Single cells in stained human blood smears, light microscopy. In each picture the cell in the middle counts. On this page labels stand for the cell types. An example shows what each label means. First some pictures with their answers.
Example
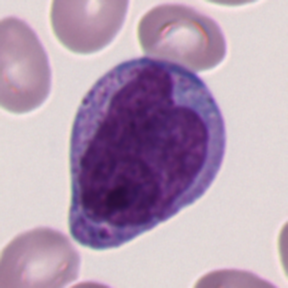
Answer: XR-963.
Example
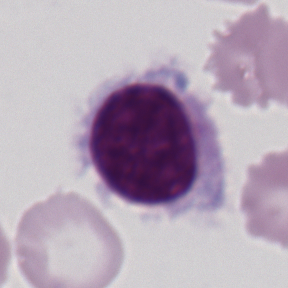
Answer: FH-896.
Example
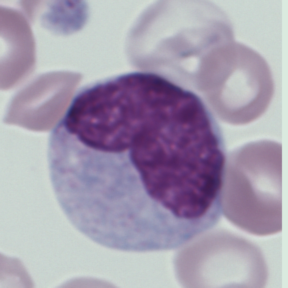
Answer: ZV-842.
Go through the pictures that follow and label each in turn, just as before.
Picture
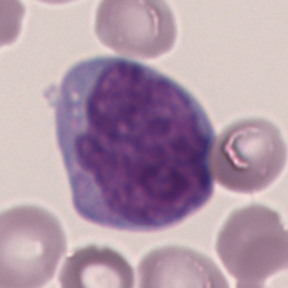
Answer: XR-963.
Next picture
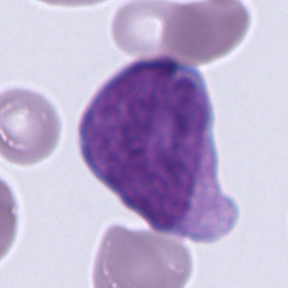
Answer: XR-963.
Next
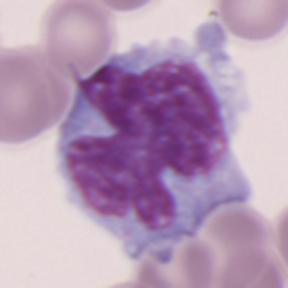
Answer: ZV-842.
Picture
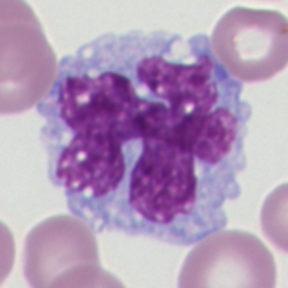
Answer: ZV-842.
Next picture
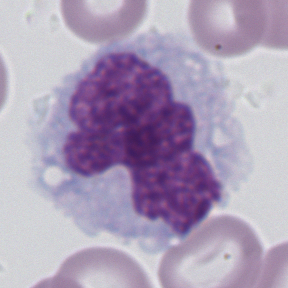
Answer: ZV-842.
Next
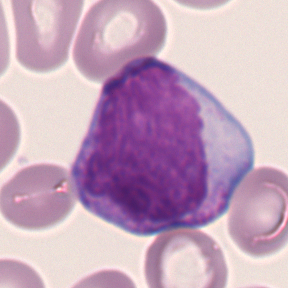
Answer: XR-963.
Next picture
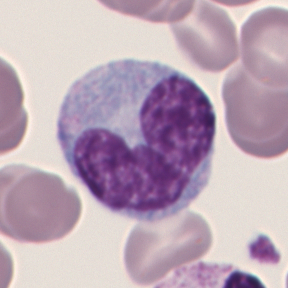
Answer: ZV-842.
